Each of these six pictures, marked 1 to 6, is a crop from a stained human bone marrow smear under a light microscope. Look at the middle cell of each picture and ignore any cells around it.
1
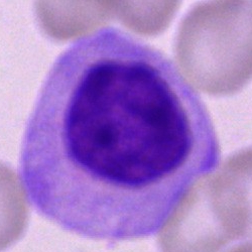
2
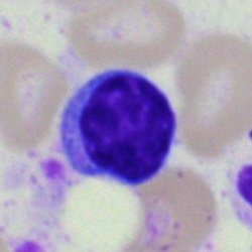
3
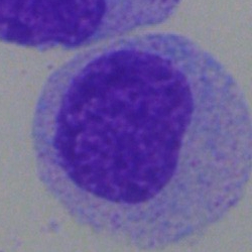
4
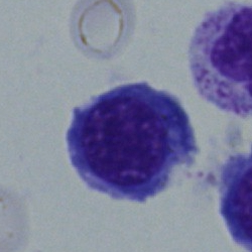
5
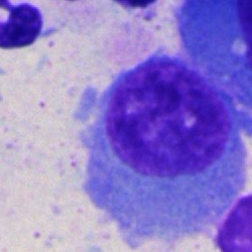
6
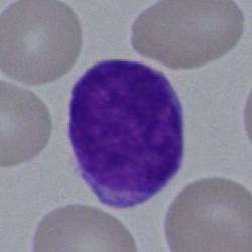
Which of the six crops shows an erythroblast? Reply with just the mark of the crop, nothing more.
4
